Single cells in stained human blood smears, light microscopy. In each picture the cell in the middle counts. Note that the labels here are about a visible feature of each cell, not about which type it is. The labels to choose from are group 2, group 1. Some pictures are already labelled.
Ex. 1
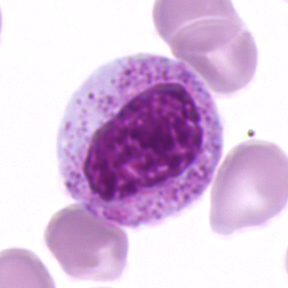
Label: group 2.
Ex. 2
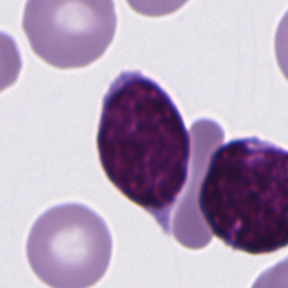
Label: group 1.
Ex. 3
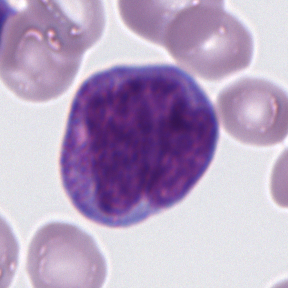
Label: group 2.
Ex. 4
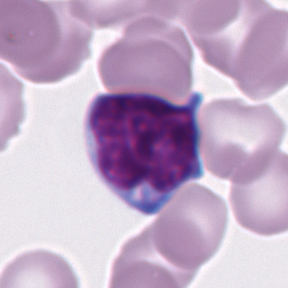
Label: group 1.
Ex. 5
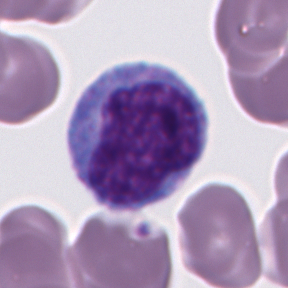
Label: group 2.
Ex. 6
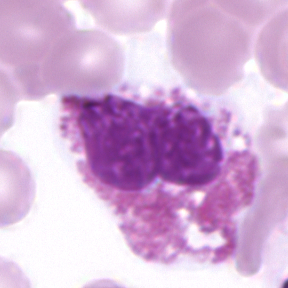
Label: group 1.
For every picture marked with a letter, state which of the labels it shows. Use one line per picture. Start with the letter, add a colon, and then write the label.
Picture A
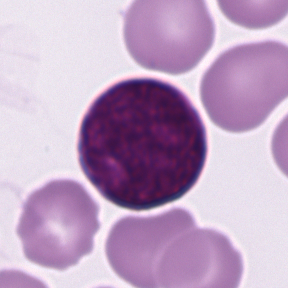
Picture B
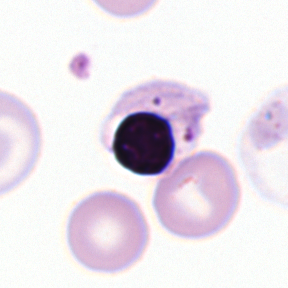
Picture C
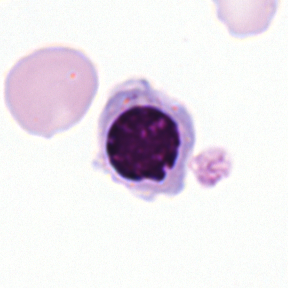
A: group 2.
B: group 1.
C: group 1.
